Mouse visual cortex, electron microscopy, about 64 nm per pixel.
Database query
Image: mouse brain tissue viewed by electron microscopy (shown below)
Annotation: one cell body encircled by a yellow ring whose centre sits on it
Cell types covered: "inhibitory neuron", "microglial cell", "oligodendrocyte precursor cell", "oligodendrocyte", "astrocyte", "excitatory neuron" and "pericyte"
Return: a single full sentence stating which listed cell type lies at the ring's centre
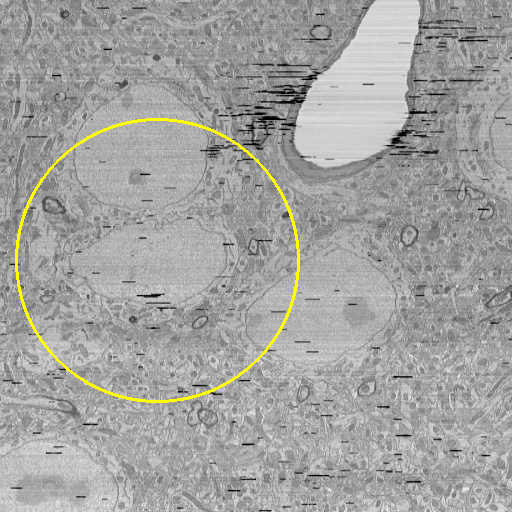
In the image, the cell lying at the ring's centre is an inhibitory neuron.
